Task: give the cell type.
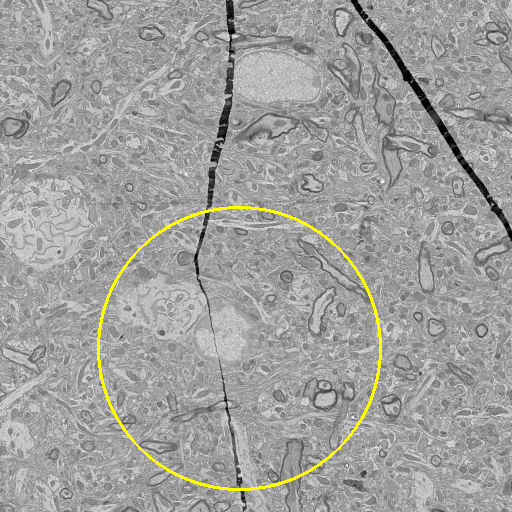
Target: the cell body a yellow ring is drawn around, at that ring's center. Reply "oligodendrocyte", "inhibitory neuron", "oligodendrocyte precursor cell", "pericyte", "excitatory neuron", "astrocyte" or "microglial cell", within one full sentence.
In this picture, the cell whose body lies at the ring's center is an oligodendrocyte.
